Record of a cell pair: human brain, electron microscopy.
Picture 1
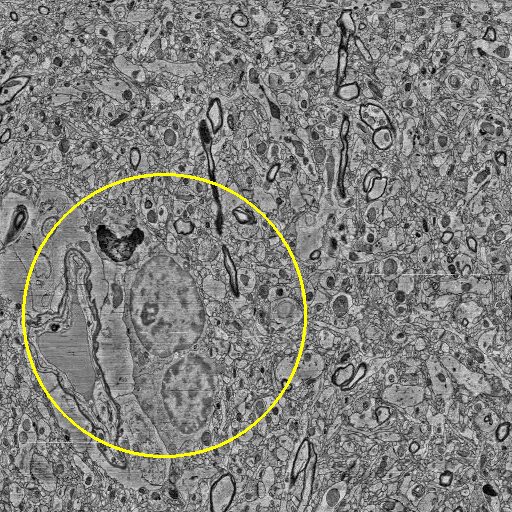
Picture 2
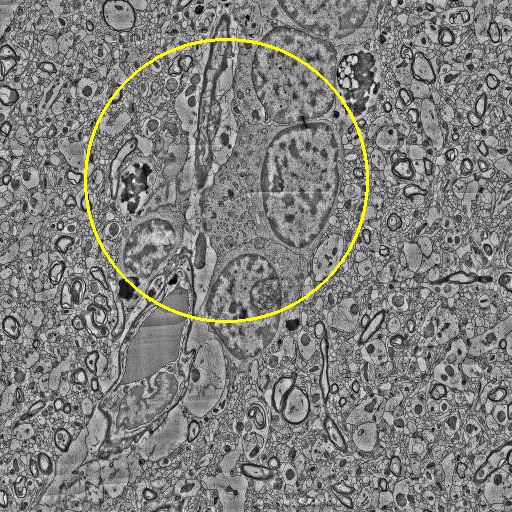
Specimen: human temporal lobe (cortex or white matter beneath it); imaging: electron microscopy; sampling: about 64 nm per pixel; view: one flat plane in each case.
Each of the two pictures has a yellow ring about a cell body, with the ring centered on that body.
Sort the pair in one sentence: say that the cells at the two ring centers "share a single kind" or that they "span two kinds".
The cells centered in the rings of Pictures 1 and 2 share a single kind.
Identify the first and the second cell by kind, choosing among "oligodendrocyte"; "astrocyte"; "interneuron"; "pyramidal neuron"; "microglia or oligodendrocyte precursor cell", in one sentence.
Each cell, in the first picture and the second, is an oligodendrocyte.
